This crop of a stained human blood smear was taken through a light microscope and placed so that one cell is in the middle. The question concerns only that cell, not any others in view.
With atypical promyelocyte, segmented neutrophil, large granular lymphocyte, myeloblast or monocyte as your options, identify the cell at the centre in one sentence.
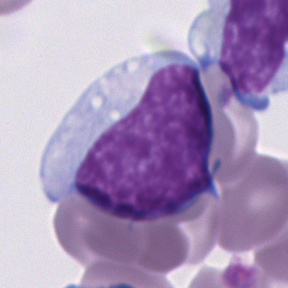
Centrally within this crop lies a myeloblast.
